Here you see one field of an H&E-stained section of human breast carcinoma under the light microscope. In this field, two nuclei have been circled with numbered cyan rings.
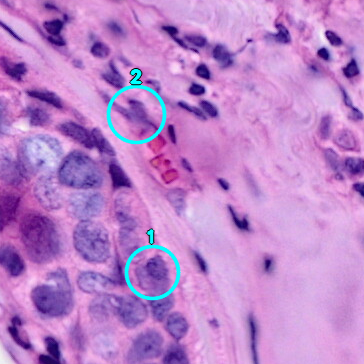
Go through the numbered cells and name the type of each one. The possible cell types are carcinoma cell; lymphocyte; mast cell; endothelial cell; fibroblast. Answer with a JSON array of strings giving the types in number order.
["carcinoma cell", "endothelial cell"]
